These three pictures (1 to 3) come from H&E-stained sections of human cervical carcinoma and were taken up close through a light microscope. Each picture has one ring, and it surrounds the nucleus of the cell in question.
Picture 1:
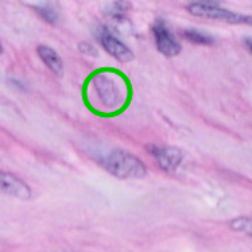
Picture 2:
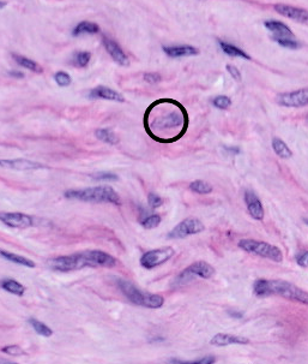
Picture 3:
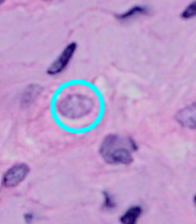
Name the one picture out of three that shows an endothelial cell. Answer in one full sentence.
Picture 3 is the one that shows the endothelial cell.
